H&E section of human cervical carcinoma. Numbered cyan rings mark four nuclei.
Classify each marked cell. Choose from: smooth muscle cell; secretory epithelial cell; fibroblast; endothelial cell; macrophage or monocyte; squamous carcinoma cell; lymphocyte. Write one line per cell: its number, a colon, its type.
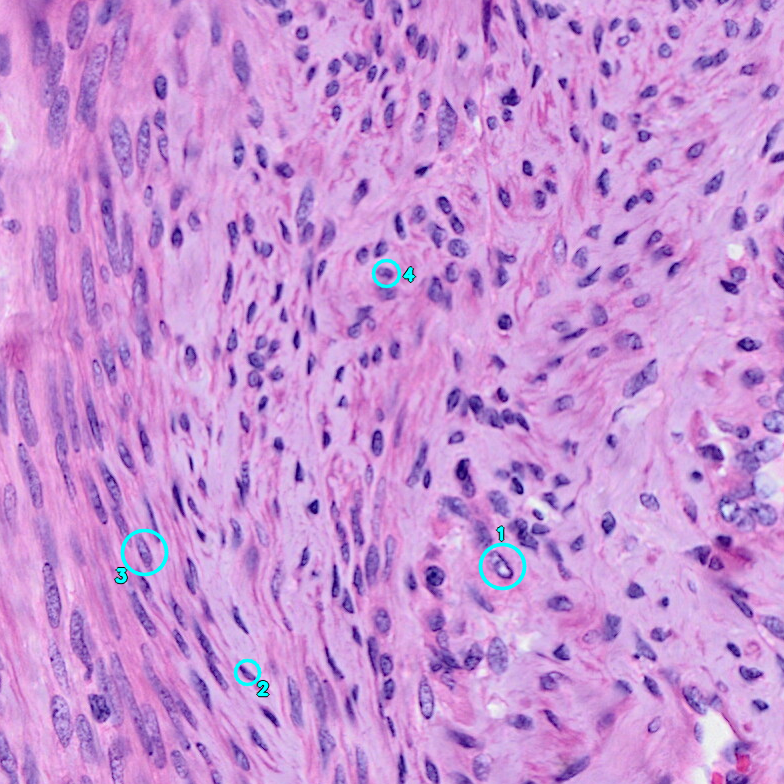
1: endothelial cell
2: smooth muscle cell
3: smooth muscle cell
4: smooth muscle cell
